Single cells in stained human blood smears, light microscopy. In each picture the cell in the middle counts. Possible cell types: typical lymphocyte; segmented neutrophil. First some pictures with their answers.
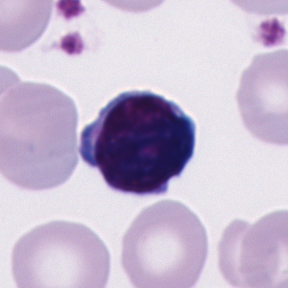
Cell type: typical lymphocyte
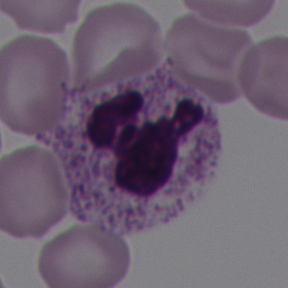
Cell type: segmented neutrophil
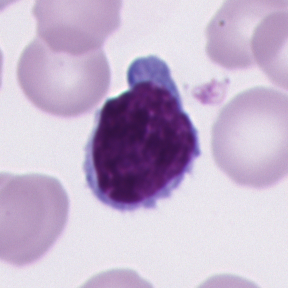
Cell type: typical lymphocyte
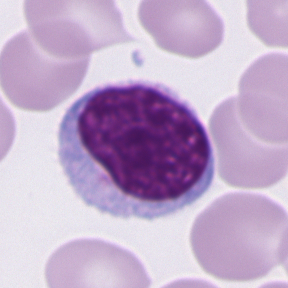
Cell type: typical lymphocyte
